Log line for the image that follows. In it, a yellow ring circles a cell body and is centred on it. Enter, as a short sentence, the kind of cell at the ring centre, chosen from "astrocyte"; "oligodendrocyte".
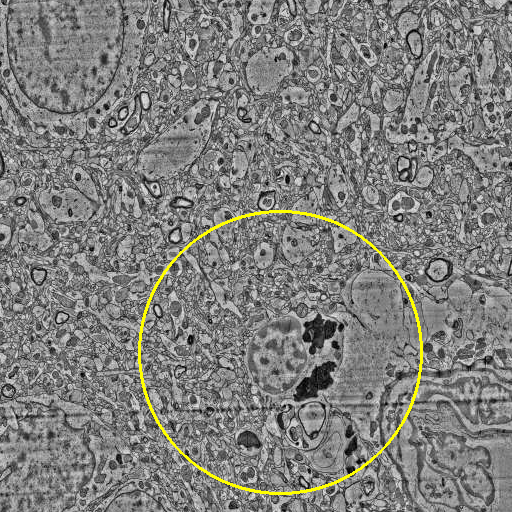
The ring centre is occupied by an oligodendrocyte.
